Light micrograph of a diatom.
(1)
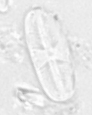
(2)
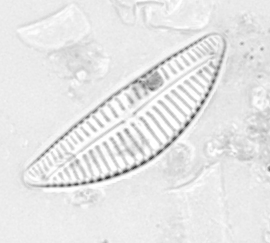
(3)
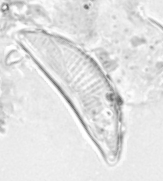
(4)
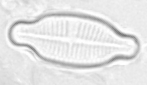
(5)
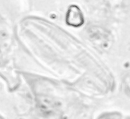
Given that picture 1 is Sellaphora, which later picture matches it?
5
